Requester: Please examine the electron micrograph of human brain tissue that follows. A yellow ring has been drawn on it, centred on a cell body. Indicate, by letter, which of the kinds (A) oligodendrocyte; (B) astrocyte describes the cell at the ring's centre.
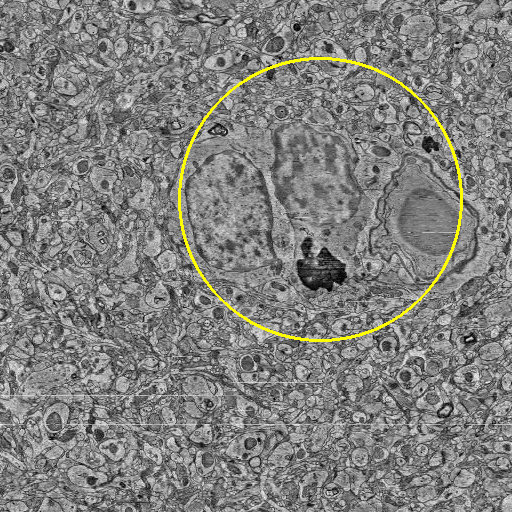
A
